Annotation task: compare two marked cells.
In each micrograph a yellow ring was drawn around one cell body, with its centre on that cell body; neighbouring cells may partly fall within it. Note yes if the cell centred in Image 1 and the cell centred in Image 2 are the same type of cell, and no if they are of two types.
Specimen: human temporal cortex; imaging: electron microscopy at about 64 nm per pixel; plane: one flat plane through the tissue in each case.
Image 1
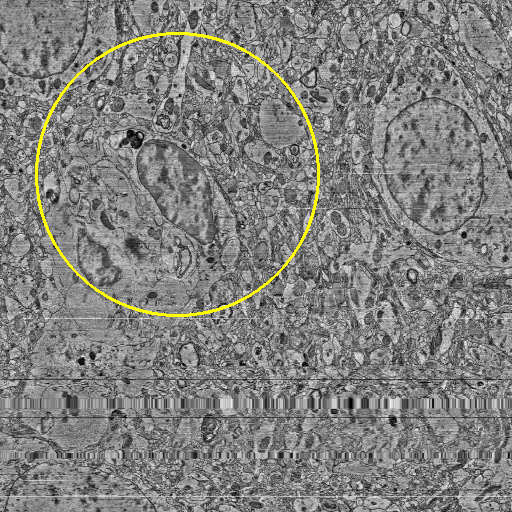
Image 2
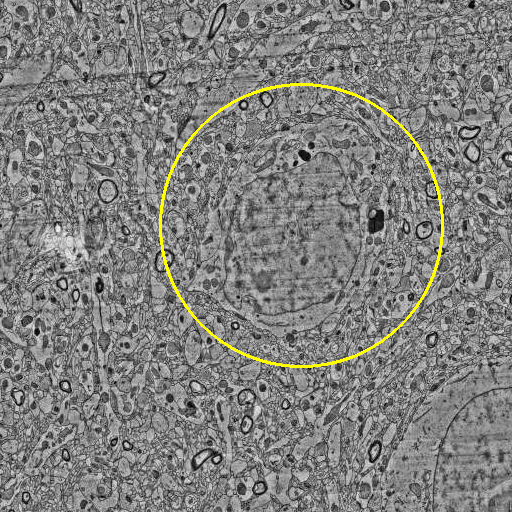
no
